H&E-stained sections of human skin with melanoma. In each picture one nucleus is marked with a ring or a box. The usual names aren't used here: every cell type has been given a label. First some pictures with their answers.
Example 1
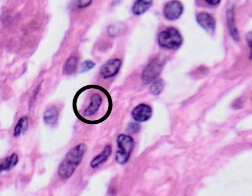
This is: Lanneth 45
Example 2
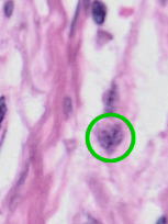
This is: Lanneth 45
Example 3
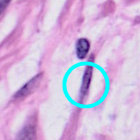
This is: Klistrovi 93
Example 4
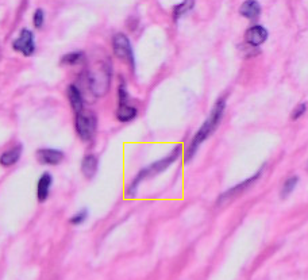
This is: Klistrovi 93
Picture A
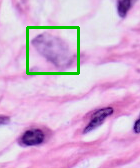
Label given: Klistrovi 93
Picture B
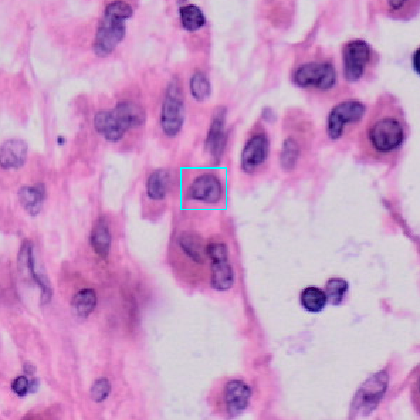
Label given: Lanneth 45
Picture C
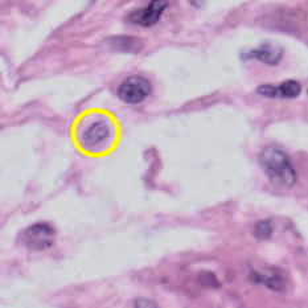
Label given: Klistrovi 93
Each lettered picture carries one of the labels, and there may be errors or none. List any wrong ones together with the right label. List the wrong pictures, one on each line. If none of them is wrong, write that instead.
C: Lanneth 45, not Klistrovi 93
